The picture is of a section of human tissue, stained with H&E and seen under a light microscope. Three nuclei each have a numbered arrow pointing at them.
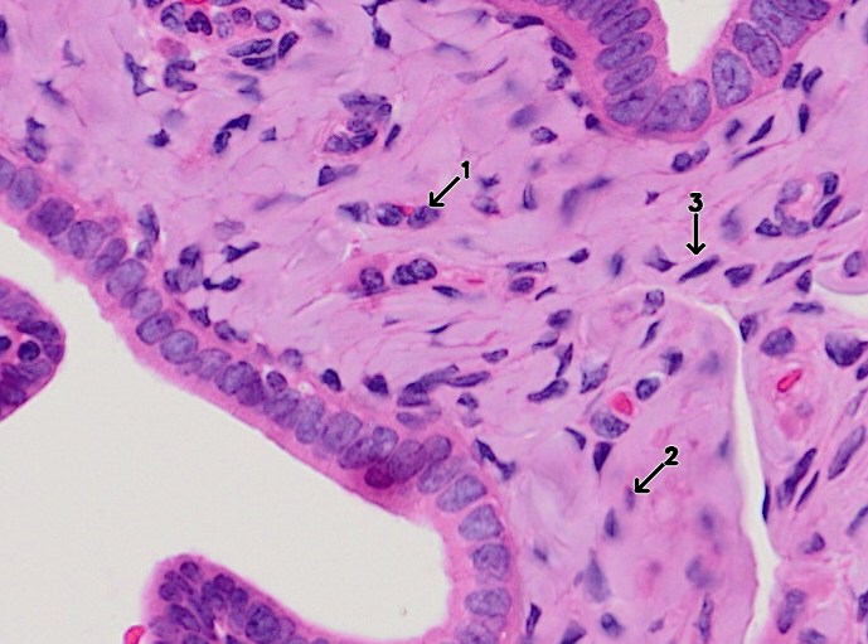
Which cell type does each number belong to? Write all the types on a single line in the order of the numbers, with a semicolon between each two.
endothelial cell; smooth muscle cell; fibroblast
